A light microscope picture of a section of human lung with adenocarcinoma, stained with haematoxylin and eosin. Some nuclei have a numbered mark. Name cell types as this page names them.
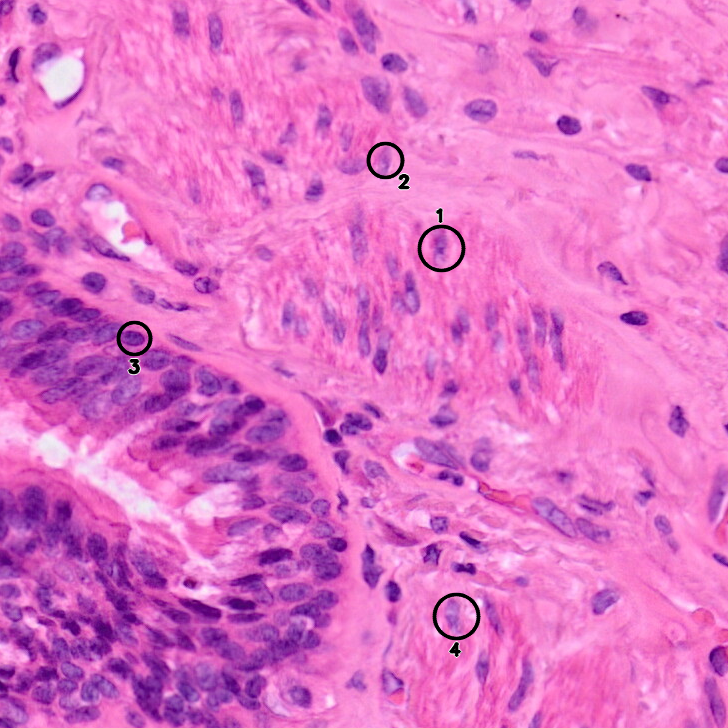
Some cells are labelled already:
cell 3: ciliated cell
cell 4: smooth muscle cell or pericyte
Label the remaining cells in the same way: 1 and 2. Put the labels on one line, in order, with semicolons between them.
smooth muscle cell or pericyte; smooth muscle cell or pericyte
